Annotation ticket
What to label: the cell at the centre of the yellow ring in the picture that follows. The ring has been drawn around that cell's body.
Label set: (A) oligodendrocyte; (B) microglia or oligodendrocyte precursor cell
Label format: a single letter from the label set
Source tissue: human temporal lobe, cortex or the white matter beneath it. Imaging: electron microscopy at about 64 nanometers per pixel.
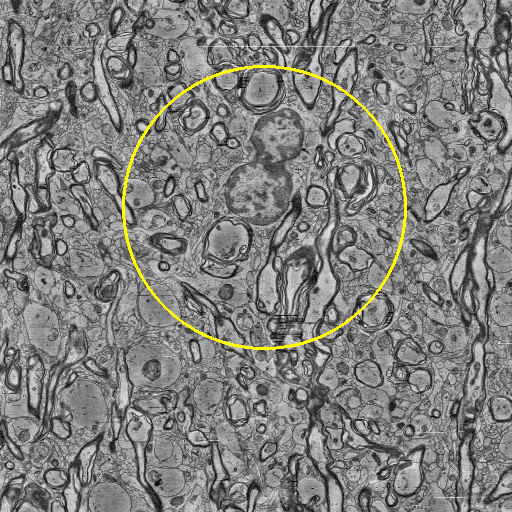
B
